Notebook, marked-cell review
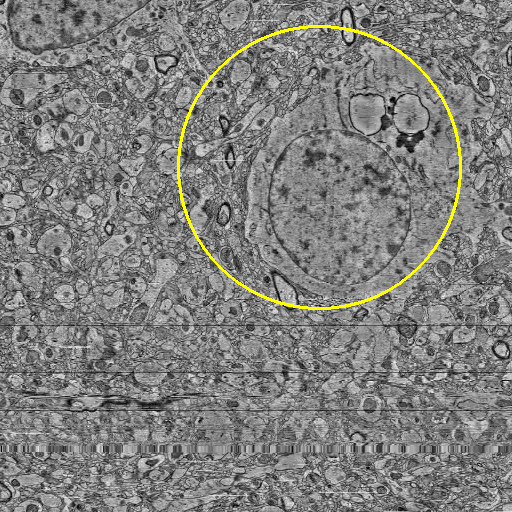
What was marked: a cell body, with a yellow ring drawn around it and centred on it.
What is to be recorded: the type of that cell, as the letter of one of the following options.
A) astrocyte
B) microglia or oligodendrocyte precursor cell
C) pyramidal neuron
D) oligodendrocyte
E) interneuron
A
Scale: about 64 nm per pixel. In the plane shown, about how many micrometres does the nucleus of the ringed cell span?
Roughly 10 micrometres across for the nucleus, in this plane.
